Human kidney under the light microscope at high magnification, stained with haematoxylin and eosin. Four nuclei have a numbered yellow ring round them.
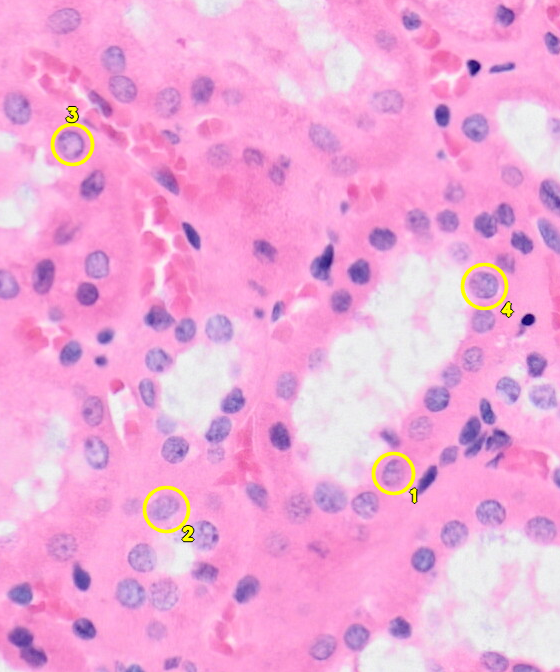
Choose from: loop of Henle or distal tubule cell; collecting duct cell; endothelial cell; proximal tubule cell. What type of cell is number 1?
loop of Henle or distal tubule cell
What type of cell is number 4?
loop of Henle or distal tubule cell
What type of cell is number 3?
proximal tubule cell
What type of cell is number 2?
loop of Henle or distal tubule cell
